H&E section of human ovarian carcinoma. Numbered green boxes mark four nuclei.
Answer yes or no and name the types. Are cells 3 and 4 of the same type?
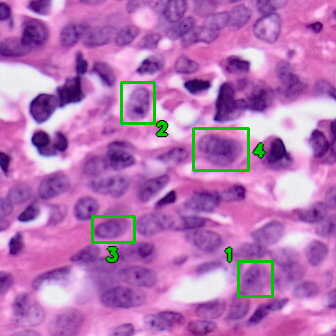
Yes, cells 3 and 4 are both to be classed as carcinoma cells.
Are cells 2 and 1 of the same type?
No, the cell tagged 2 is a macrophage or monocyte, whereas the cell tagged 1 is a carcinoma cell.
